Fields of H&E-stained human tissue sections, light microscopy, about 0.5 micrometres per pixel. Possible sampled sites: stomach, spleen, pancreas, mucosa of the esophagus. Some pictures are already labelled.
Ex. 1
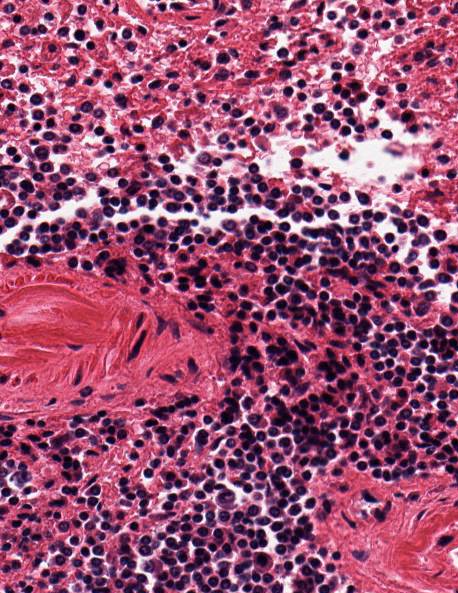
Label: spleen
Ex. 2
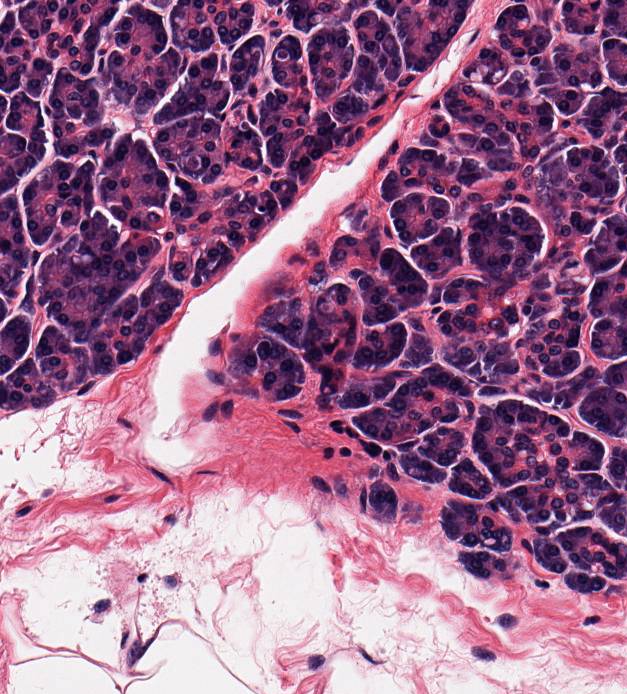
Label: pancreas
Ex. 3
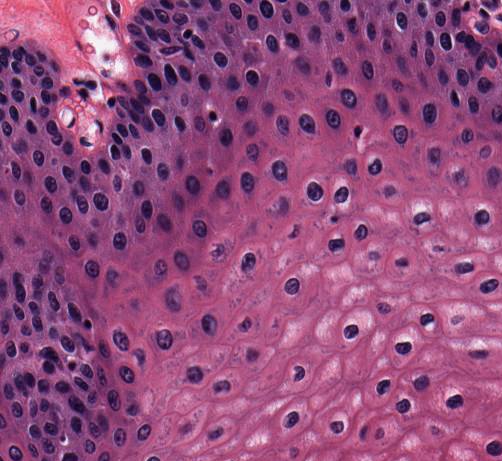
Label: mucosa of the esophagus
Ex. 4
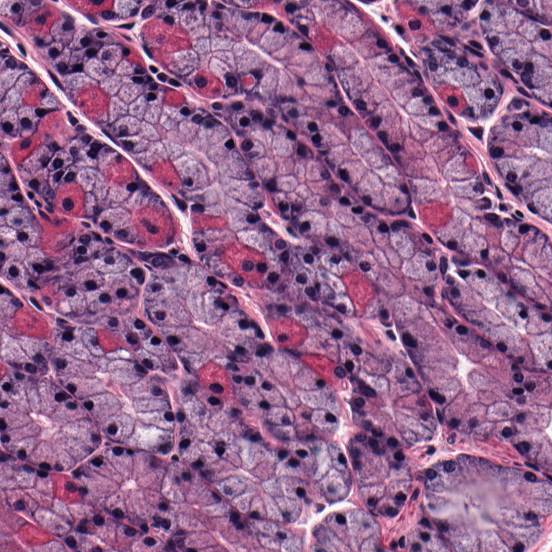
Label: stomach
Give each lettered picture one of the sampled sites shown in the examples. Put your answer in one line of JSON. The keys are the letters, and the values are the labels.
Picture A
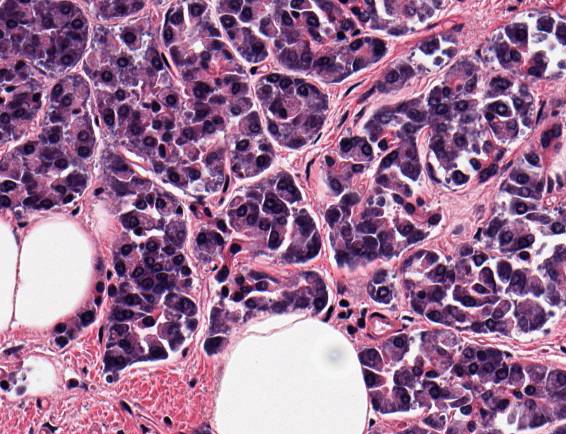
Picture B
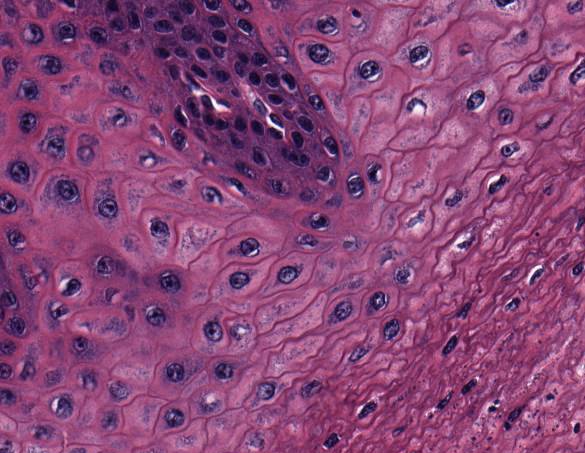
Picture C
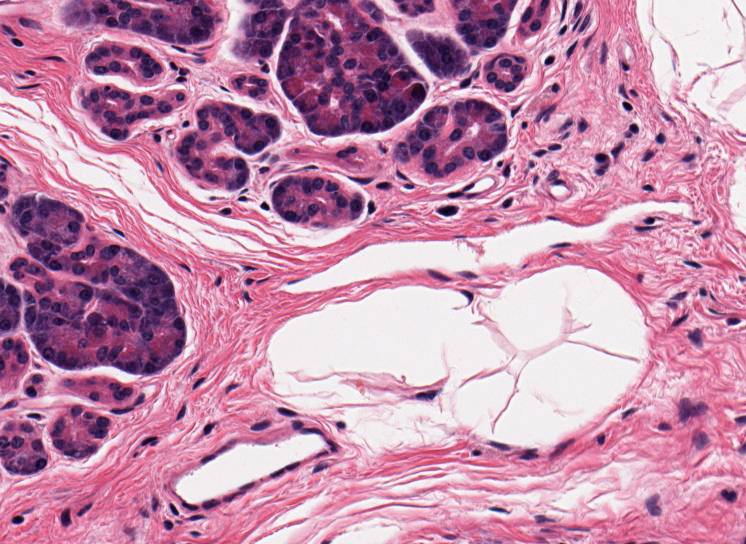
{"A": "pancreas", "B": "mucosa of the esophagus", "C": "pancreas"}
